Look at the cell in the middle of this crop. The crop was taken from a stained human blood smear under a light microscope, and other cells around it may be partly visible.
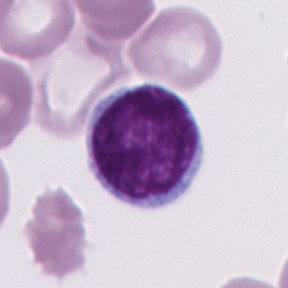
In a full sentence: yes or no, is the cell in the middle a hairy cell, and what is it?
No, the central cell is not to be called a hairy cell, being a typical lymphocyte.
